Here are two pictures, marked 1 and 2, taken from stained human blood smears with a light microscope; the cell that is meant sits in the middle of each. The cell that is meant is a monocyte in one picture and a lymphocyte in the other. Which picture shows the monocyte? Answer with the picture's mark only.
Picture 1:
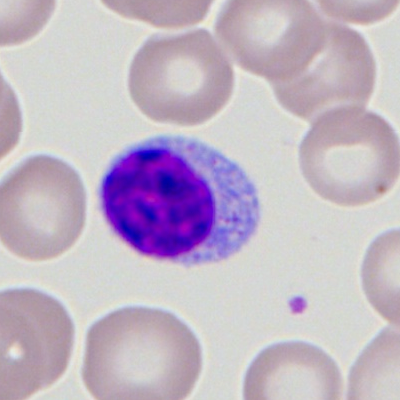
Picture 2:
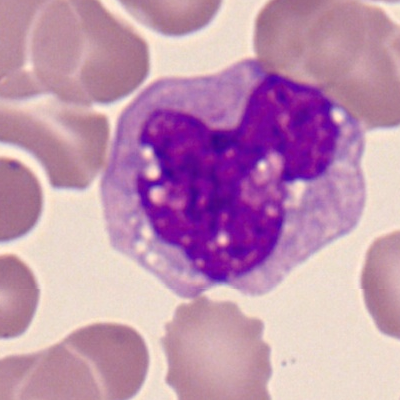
2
